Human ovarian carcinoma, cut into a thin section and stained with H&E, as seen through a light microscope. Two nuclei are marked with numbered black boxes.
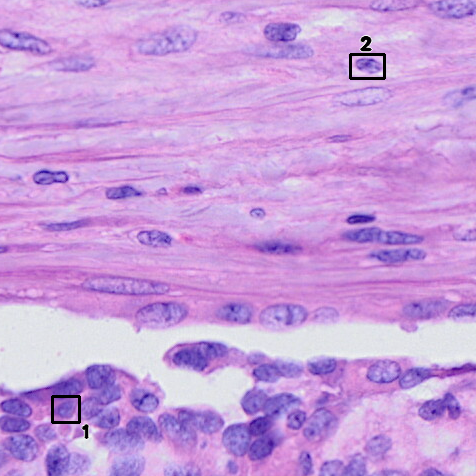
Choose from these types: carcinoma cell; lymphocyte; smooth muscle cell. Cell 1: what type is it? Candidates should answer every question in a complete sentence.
Regarding cell 1, this one is a carcinoma cell.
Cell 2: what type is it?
The cell indicated by marker 2 is a lymphocyte in this section.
